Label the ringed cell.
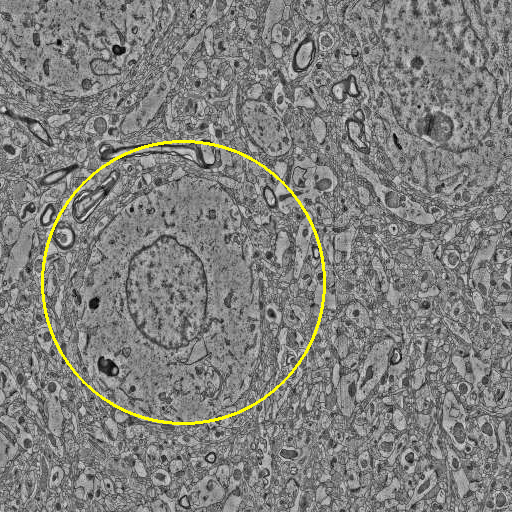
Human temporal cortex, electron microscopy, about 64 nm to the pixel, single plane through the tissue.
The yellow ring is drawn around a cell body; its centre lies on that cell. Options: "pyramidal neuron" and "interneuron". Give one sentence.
The ringed cell is a pyramidal neuron.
